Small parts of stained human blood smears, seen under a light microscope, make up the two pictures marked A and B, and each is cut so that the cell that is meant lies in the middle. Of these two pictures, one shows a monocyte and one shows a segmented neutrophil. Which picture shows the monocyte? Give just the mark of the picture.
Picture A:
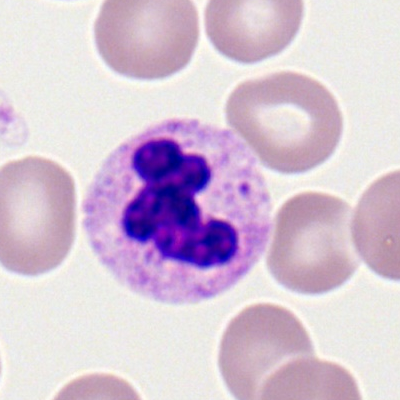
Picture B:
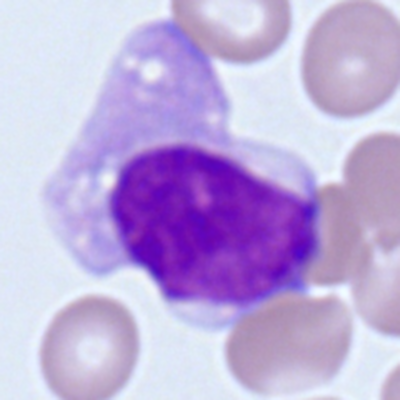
B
